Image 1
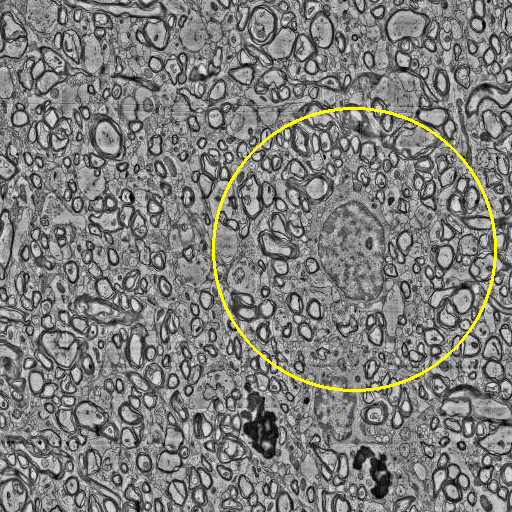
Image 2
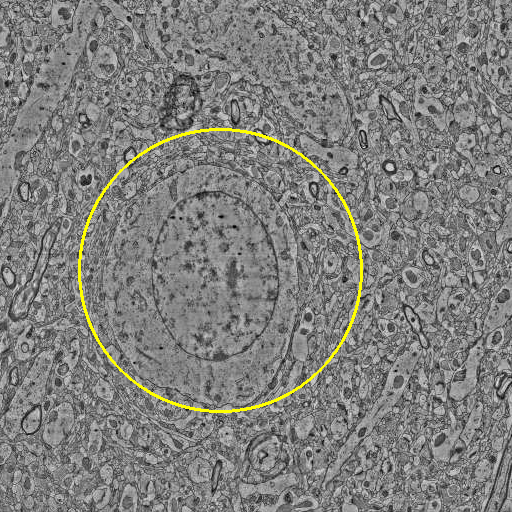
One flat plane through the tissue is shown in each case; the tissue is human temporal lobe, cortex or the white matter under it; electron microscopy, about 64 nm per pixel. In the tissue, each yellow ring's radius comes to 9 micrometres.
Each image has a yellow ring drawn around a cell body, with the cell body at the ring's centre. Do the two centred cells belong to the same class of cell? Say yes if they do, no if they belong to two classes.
no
